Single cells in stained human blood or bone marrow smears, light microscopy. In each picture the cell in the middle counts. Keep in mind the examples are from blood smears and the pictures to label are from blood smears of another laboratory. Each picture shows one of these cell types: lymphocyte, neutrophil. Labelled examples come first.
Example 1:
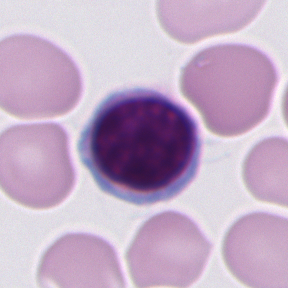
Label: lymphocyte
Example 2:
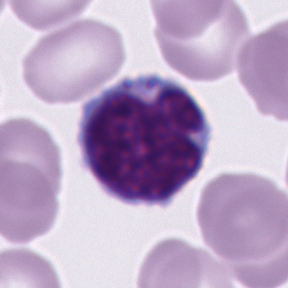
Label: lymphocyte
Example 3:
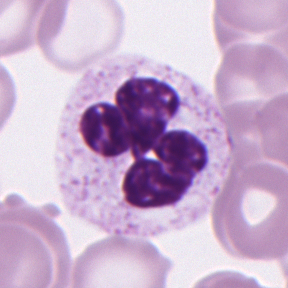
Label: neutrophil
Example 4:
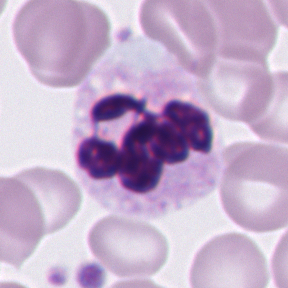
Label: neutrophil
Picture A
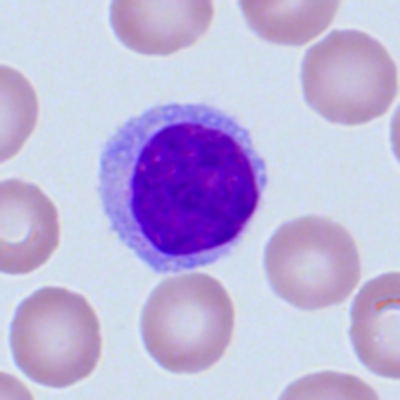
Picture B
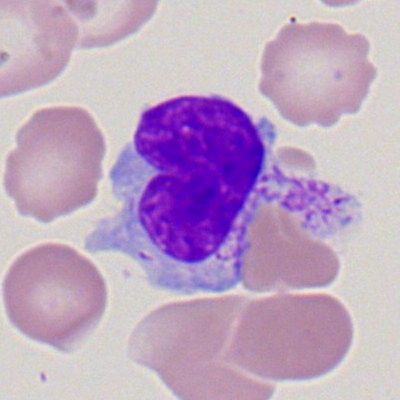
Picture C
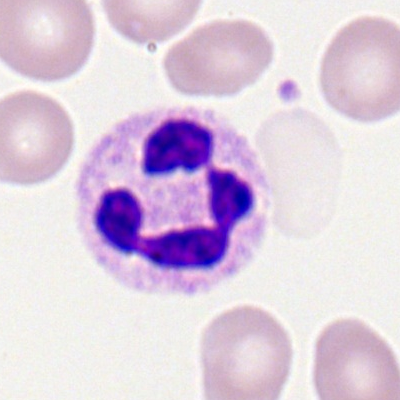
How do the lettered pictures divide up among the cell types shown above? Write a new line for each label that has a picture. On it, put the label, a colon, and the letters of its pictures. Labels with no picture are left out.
lymphocyte: A, B
neutrophil: C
